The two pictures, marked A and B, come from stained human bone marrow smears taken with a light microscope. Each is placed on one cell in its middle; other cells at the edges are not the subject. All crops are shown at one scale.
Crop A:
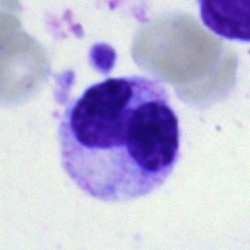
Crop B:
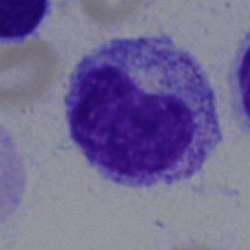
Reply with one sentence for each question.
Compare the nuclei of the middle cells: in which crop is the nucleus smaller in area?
Crop A shows the smaller nucleus, since that in crop B covers about 1.5 times as much area.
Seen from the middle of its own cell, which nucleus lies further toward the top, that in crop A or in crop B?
Seen within its cell, the nucleus in crop A lies further toward the top.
